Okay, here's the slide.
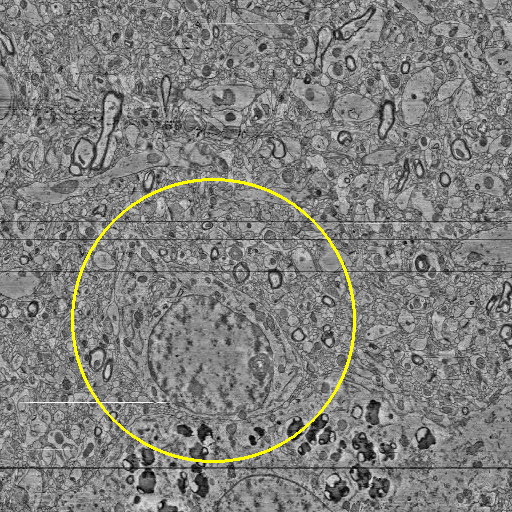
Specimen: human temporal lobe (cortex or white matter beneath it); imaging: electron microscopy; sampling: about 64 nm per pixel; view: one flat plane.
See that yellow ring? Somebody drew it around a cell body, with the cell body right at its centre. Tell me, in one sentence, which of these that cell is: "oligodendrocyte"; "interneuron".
The cell in the middle of the ring is an interneuron.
